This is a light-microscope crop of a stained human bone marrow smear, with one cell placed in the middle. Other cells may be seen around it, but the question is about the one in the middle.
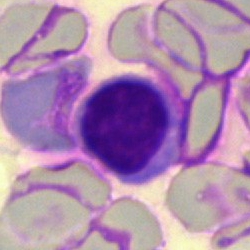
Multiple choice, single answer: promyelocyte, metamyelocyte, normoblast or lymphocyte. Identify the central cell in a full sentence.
The cell nearest the centre of this crop is a lymphocyte.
